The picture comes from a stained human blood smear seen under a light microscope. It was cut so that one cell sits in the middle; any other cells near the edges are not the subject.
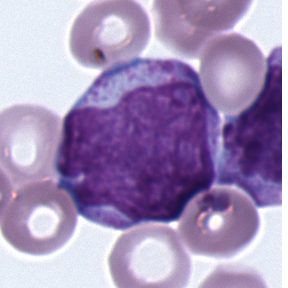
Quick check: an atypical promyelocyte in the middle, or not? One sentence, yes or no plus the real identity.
Yes, the cell that the crop is centered on is an atypical promyelocyte.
